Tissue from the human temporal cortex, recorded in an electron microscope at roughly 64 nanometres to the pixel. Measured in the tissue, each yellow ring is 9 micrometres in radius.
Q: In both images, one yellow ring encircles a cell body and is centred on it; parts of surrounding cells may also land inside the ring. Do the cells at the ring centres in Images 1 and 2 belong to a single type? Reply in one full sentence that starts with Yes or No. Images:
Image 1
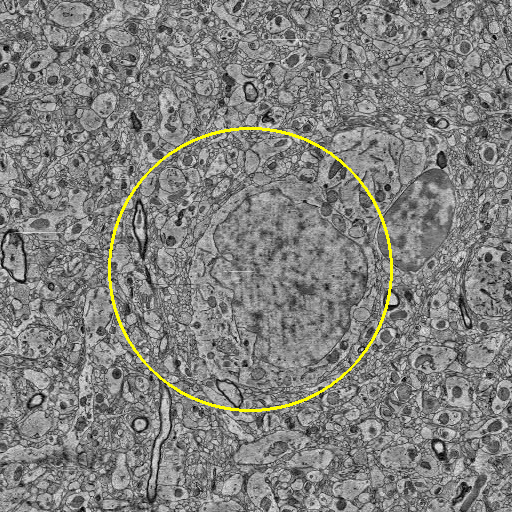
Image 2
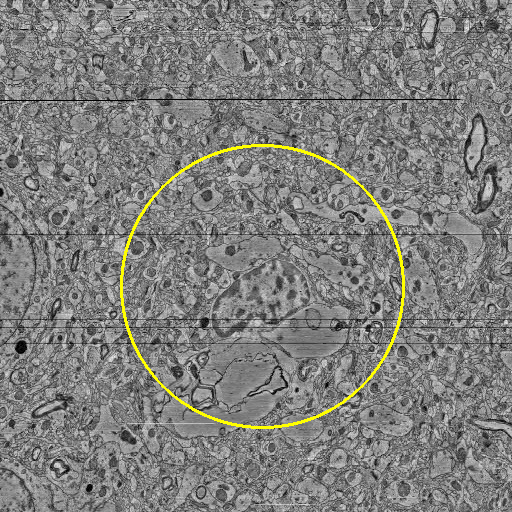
No, the cells at the ring centres in Images 1 and 2 are of two types.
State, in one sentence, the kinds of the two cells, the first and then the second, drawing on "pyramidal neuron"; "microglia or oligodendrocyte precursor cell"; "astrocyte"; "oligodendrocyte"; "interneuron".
The ring in the second picture is centred on a microglial cell or oligodendrocyte precursor cell, the ring in the first on an interneuron.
